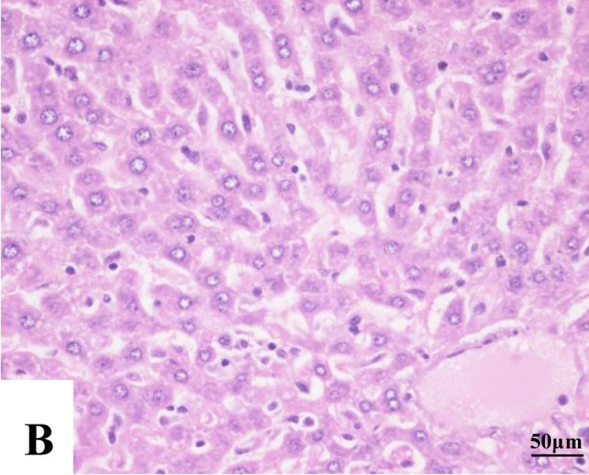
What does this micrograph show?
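Liver tissue with hepatocytes arranged in plates that converge toward a vessel at the lower right. The hepatocytes are polygonal, with round central nuclei and nucleoli, and their pink cytoplasm looks cloudy and finely granular rather than clear. Narrow pale sinusoidal spaces with small dark elongated nuclei run between the plates.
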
